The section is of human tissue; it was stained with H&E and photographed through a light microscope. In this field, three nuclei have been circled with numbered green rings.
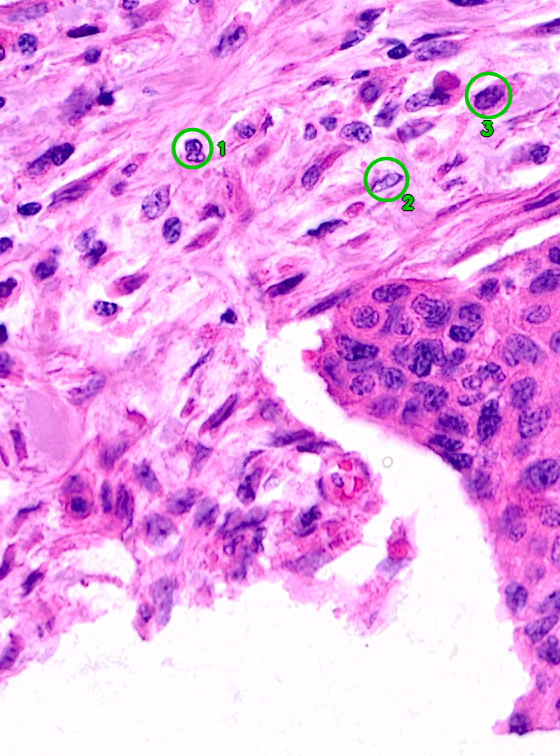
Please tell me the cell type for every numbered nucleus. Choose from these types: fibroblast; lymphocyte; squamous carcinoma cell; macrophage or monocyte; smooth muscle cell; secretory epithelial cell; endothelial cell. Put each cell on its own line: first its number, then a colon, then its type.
1: lymphocyte
2: fibroblast
3: macrophage or monocyte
